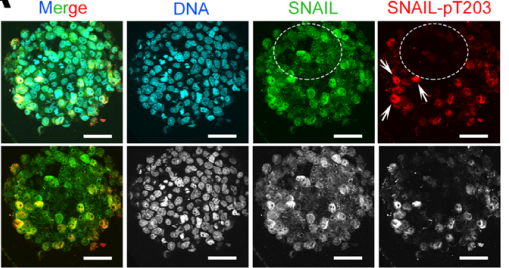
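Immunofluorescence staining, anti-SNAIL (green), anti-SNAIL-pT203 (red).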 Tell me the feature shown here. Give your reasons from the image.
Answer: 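Sphere. Many cells are packed together into one compact, roughly round cluster.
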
